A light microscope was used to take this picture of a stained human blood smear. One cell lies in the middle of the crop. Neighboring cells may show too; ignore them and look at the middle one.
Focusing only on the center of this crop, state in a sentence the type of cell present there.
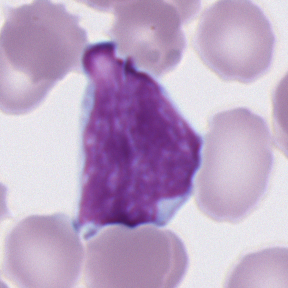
The central cell, amid any neighbouring cells, is a typical lymphocyte.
